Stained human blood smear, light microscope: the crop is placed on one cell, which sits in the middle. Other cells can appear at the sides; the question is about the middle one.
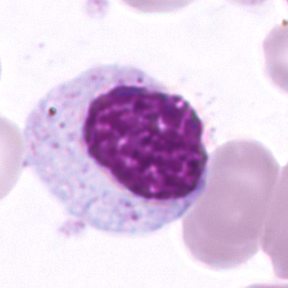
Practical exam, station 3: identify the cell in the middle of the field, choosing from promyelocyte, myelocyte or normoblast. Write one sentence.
In the central position of this crop, the cell is a myelocyte.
